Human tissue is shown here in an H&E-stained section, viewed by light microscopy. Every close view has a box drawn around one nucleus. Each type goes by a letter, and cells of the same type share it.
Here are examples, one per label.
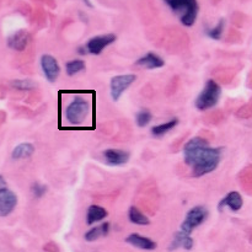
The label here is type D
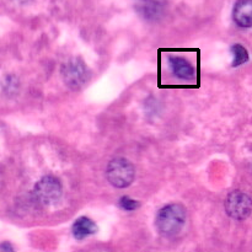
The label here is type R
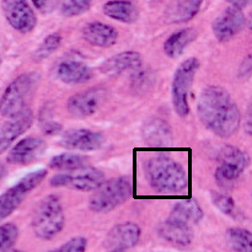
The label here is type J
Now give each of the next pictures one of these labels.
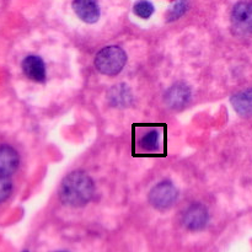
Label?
type R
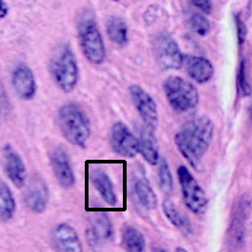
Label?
type J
